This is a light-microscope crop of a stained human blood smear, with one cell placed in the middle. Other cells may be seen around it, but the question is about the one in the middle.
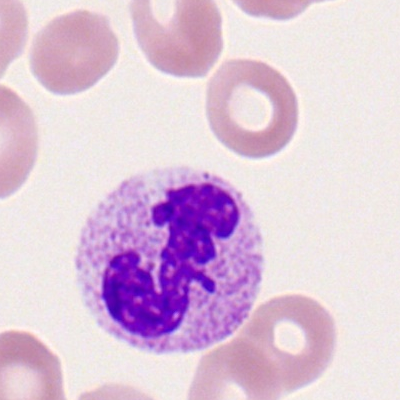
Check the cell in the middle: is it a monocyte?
no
